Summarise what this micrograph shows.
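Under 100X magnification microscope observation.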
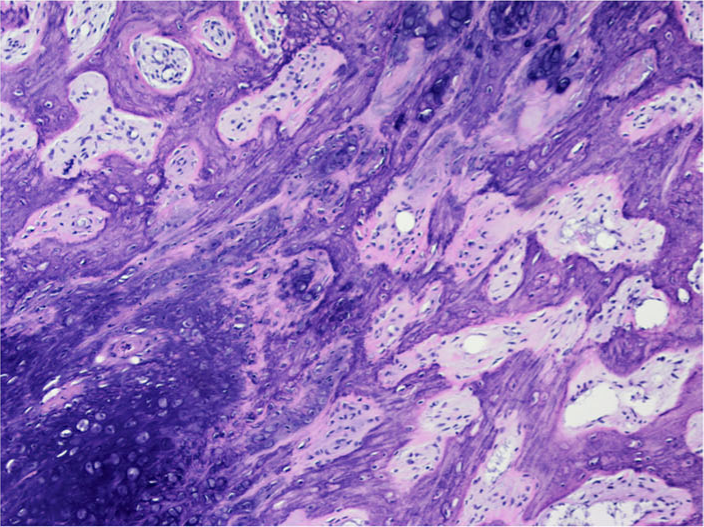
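At low power, bone, cartilage and fibrous tissue are mixed and irregularly distributed. In the lower left, a dense dark blue area of cartilage holds scattered cells in lacunae. Across the rest of the field, branching pink-purple trabecular matrix alternates with pale pink spaces. These spaces contain loosely arranged spindle cells and a few empty round vacuoles.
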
